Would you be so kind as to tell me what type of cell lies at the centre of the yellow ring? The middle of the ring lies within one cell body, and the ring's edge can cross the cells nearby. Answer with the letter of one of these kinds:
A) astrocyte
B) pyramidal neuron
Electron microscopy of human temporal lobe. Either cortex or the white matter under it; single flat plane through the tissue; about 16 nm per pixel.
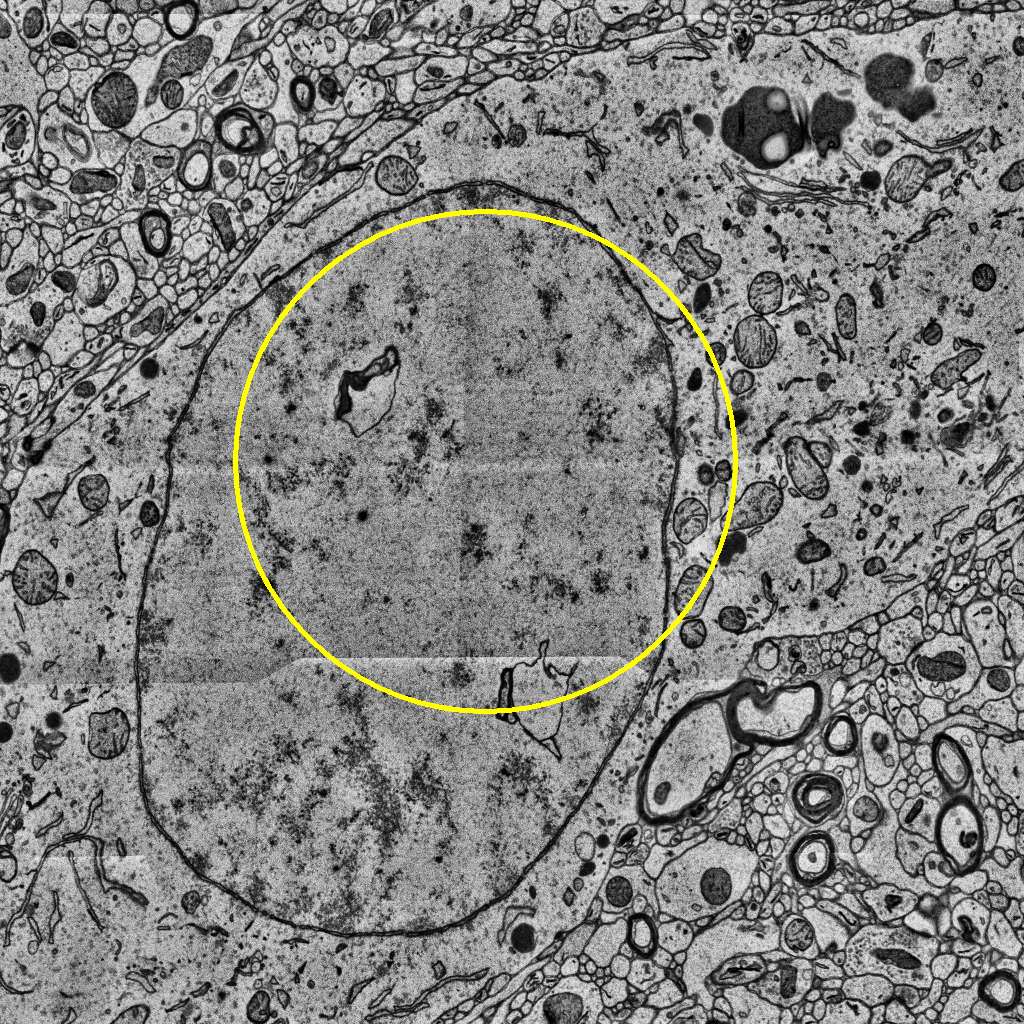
B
